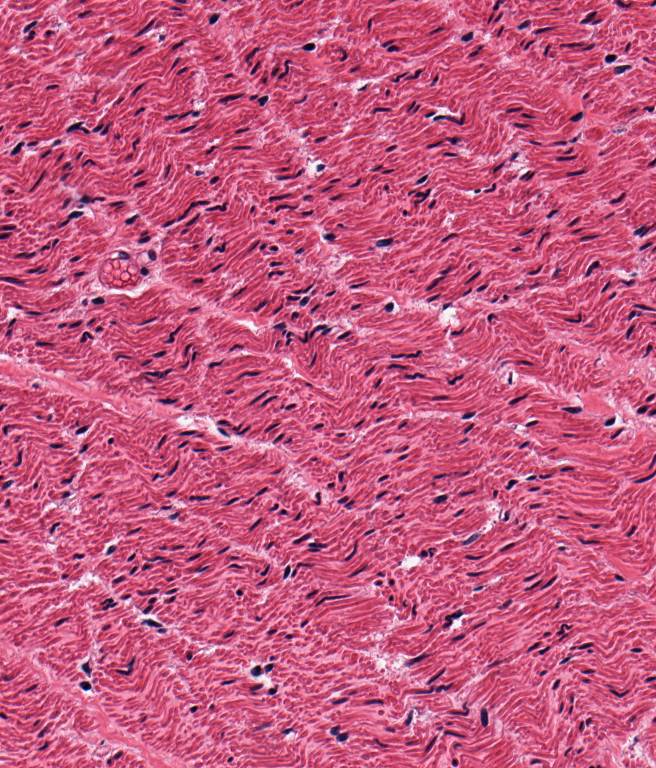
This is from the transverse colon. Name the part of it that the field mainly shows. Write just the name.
smooth muscle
